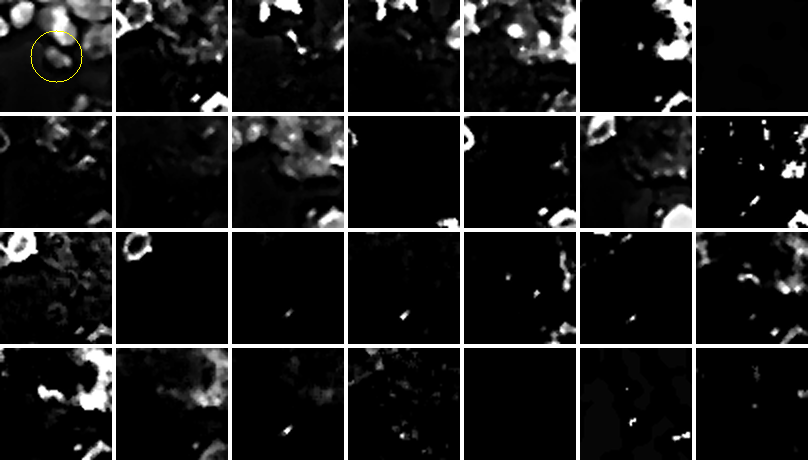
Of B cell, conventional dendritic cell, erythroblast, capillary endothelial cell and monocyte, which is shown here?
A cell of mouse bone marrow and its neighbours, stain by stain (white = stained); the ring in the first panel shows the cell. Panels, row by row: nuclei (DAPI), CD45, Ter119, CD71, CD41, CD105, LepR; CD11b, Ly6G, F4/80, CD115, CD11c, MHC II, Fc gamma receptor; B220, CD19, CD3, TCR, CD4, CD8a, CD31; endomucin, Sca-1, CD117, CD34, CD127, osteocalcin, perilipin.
capillary endothelial cell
